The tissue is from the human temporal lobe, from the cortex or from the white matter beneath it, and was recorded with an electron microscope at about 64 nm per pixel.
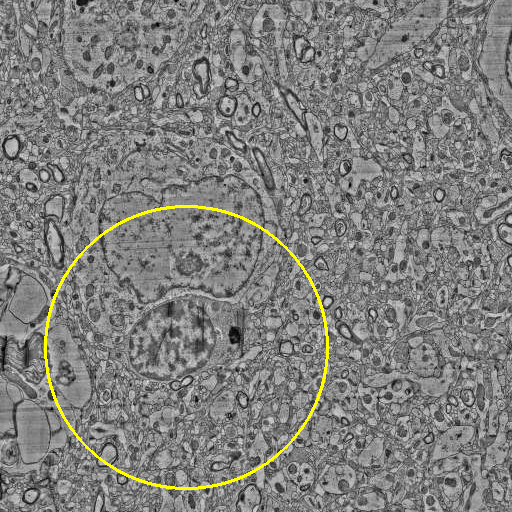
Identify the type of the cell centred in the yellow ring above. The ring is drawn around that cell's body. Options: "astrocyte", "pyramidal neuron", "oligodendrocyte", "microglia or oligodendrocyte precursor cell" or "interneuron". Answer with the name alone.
oligodendrocyte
